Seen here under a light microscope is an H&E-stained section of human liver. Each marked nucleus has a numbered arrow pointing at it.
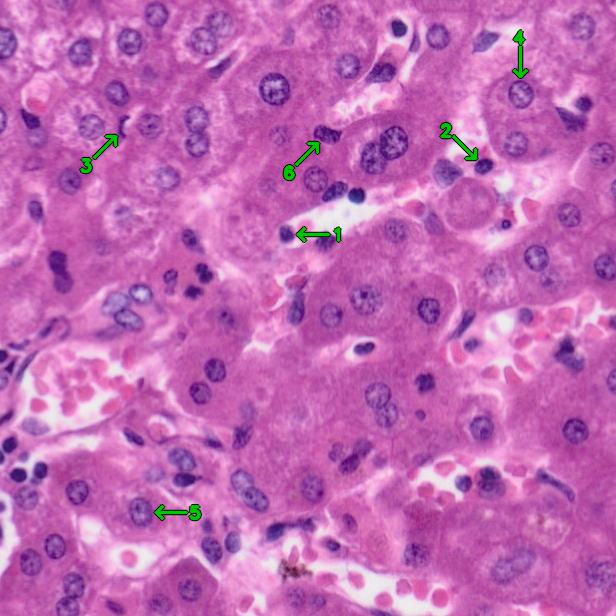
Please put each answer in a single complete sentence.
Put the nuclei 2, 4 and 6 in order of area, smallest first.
From smallest to largest, the order is 2, 6, 4.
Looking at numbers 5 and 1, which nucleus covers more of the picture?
Of the two, number 5 is bigger and takes up about 2.5 times the area of number 1.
